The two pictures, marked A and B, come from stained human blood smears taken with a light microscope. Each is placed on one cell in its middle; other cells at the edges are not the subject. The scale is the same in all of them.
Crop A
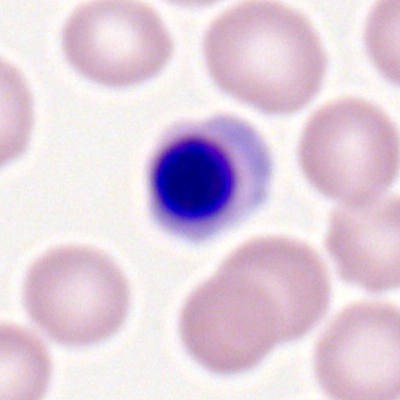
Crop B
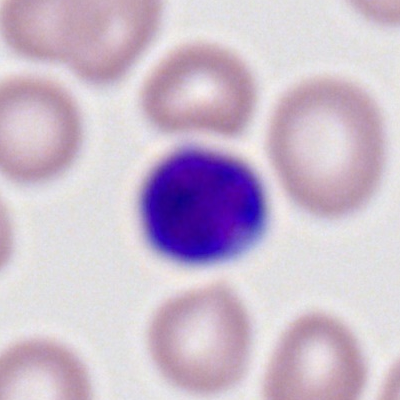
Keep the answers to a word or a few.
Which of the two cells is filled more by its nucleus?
B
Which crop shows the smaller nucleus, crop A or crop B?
A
